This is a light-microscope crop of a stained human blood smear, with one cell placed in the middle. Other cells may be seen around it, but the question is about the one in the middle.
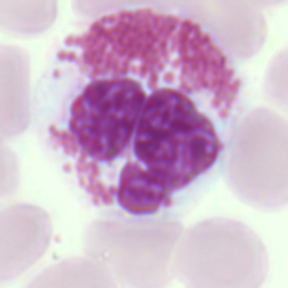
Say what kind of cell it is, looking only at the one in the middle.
eosinophil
